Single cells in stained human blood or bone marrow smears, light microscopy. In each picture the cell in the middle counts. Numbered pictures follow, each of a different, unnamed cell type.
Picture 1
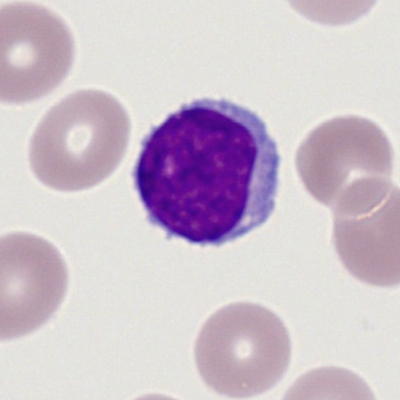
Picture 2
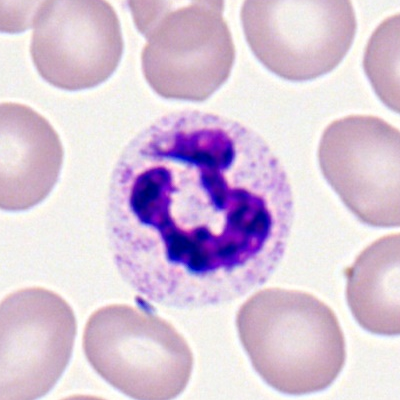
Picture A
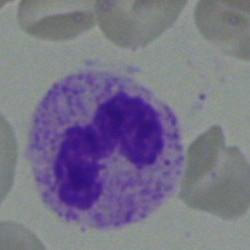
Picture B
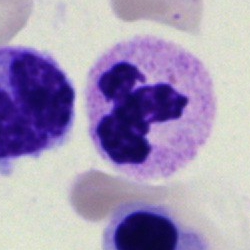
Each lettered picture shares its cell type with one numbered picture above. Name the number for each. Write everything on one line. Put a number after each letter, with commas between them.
A 2, B 2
